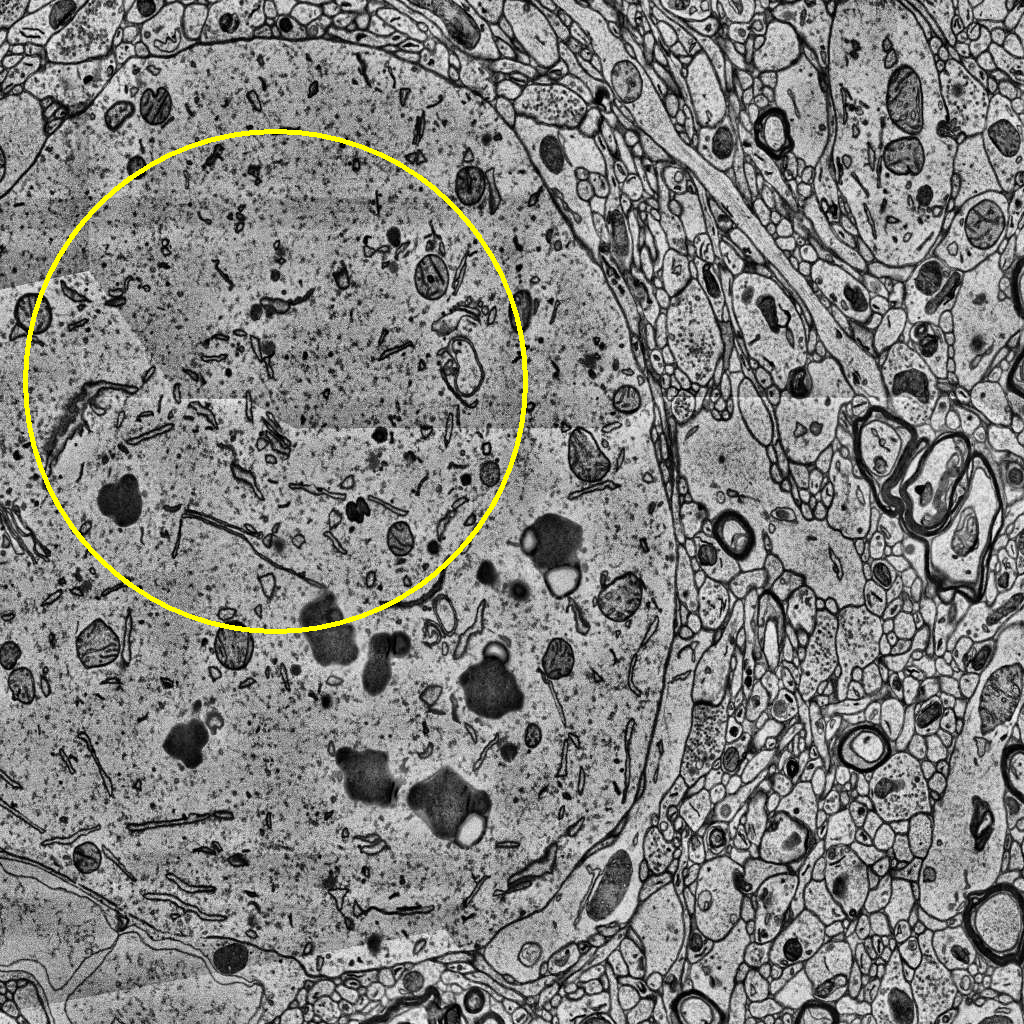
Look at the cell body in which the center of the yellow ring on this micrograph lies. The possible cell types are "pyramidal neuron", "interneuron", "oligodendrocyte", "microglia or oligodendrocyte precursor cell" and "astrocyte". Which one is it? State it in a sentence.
The cell at the middle of the ring is a pyramidal neuron.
